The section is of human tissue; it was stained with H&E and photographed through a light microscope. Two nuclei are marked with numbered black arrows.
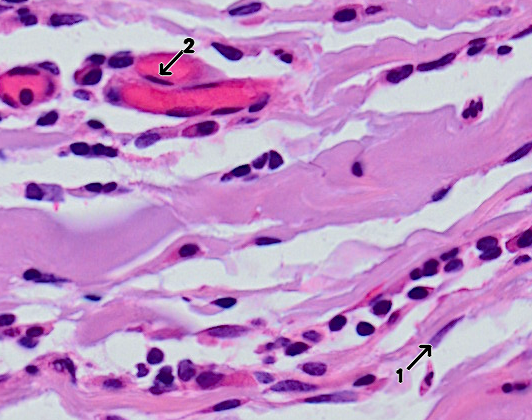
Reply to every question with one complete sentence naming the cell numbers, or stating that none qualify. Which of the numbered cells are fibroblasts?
Only the cell numbered 1 is a fibroblast; none of the others is.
